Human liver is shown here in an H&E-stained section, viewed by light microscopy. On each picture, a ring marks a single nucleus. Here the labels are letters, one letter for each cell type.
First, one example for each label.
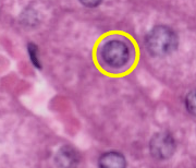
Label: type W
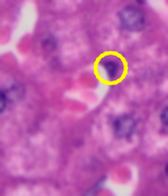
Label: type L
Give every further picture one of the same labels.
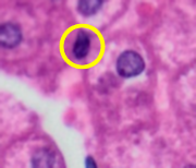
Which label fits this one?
type L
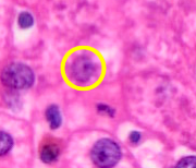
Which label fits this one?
type W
